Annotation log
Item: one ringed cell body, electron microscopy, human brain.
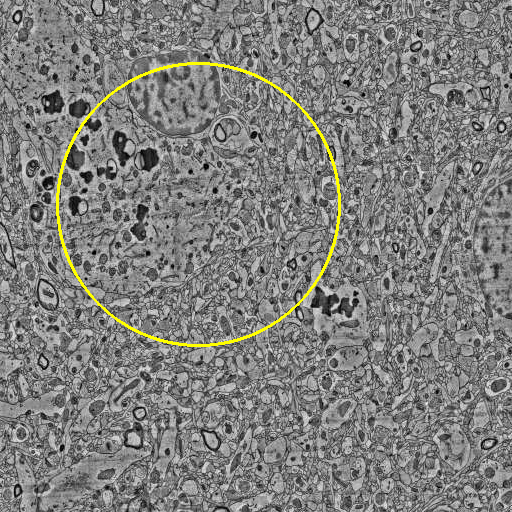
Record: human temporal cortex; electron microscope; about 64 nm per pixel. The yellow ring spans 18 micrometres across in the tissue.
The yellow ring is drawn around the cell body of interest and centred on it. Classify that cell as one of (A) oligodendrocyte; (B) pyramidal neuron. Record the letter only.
B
